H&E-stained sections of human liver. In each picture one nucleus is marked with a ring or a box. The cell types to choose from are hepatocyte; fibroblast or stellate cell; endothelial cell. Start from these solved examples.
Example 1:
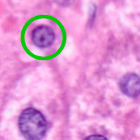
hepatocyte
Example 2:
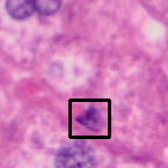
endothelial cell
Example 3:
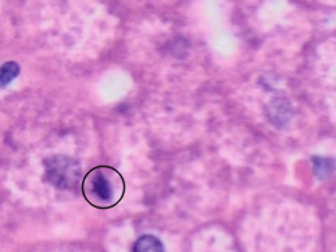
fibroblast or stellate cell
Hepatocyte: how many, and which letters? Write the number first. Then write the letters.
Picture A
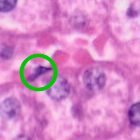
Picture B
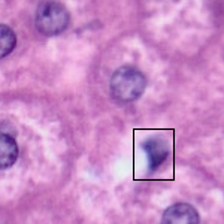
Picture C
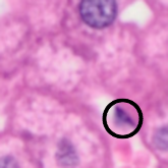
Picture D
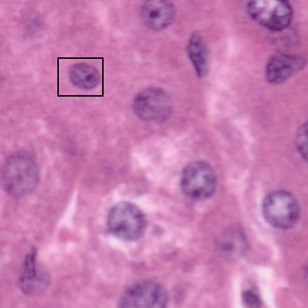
1, namely D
